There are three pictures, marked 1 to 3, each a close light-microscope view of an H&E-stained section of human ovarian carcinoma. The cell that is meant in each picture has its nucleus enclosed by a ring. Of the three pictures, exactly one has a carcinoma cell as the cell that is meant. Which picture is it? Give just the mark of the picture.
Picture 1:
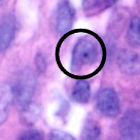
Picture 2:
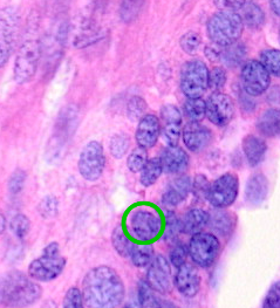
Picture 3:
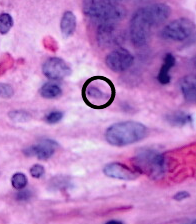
2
